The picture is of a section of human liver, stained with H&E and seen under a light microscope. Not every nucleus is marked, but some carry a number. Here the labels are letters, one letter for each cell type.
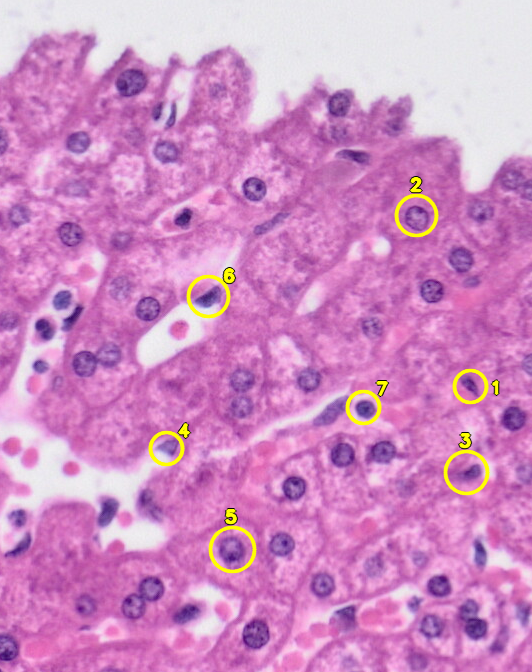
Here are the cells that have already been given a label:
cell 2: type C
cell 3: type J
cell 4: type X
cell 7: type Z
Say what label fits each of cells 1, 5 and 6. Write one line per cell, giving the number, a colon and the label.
1: type X
5: type C
6: type X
